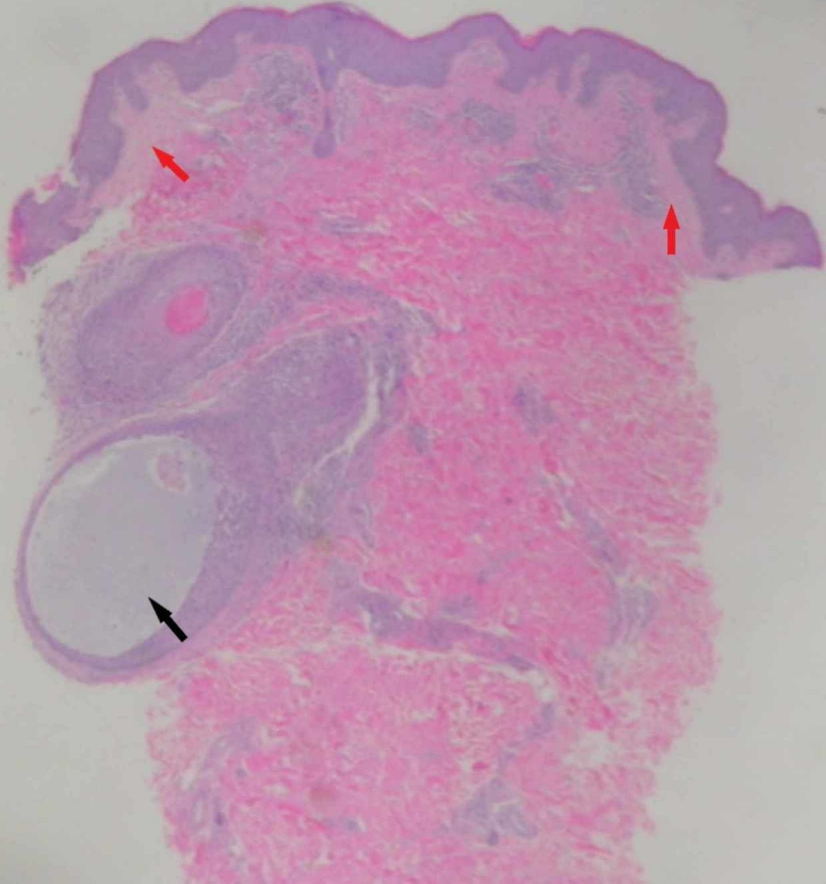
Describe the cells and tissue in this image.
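This is a full-thickness slice of skin, with a purple epidermis along the top and a thick pink dermis of collagen bundles beneath it. Just under the epidermis, the uppermost dermis looks paler and looser than the deeper collagen, which suggests slight swelling of that layer. In the mid dermis lies a hair follicle complex with a dense purple epithelial wall. One cut through it shows a bright pink keratin core. Small bluish clusters of cells are scattered through the dermis around vessels and the follicle.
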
